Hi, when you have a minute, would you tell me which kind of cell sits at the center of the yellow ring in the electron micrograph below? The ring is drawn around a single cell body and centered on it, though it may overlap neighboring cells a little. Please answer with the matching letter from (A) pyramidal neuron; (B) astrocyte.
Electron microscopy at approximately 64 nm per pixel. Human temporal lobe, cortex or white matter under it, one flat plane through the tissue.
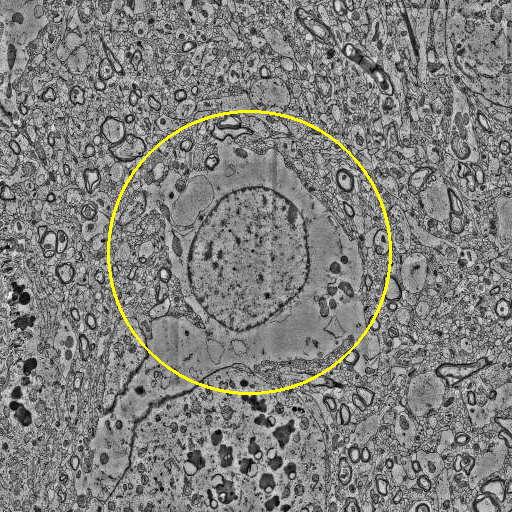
B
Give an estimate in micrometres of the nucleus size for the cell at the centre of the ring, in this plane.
Roughly 9 by 8 micrometres is the size of the nucleus in this plane.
